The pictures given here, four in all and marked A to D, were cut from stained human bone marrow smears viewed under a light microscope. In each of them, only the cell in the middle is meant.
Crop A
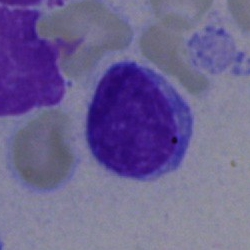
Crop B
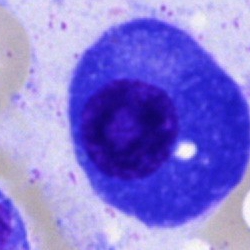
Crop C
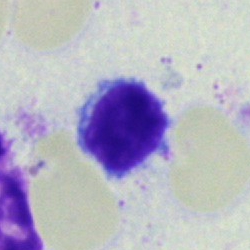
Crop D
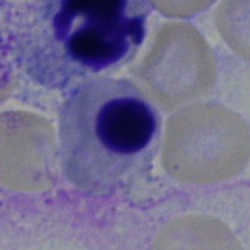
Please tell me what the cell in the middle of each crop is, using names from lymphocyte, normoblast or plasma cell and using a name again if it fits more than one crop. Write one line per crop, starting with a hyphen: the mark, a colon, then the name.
- A: lymphocyte
- B: plasma cell
- C: lymphocyte
- D: normoblast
